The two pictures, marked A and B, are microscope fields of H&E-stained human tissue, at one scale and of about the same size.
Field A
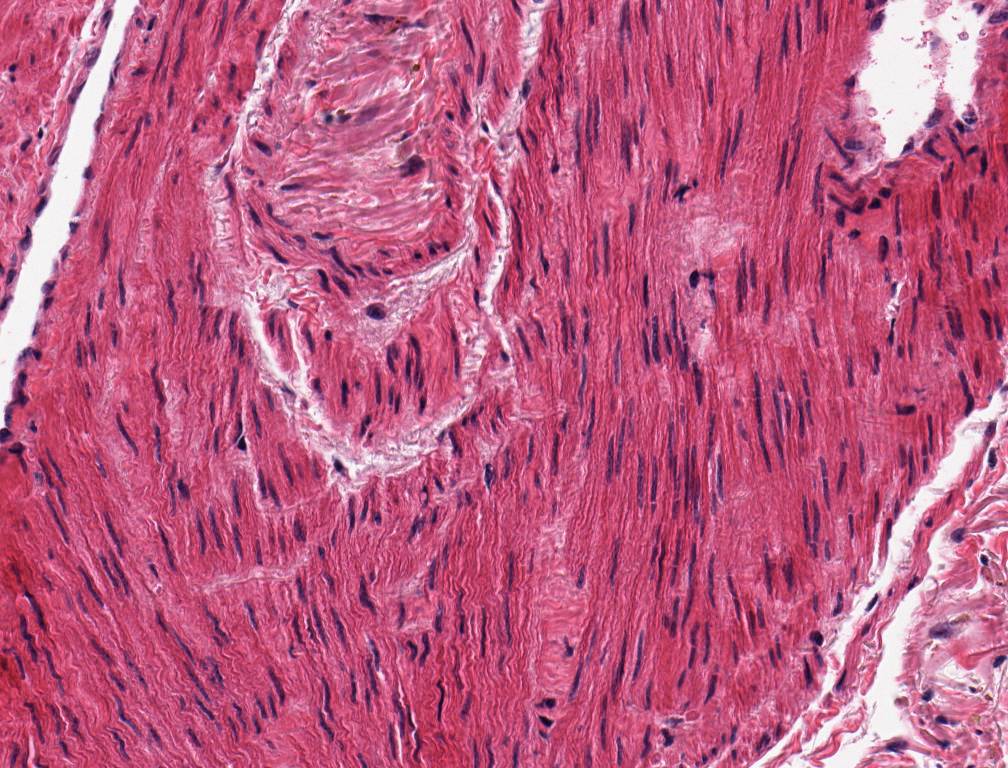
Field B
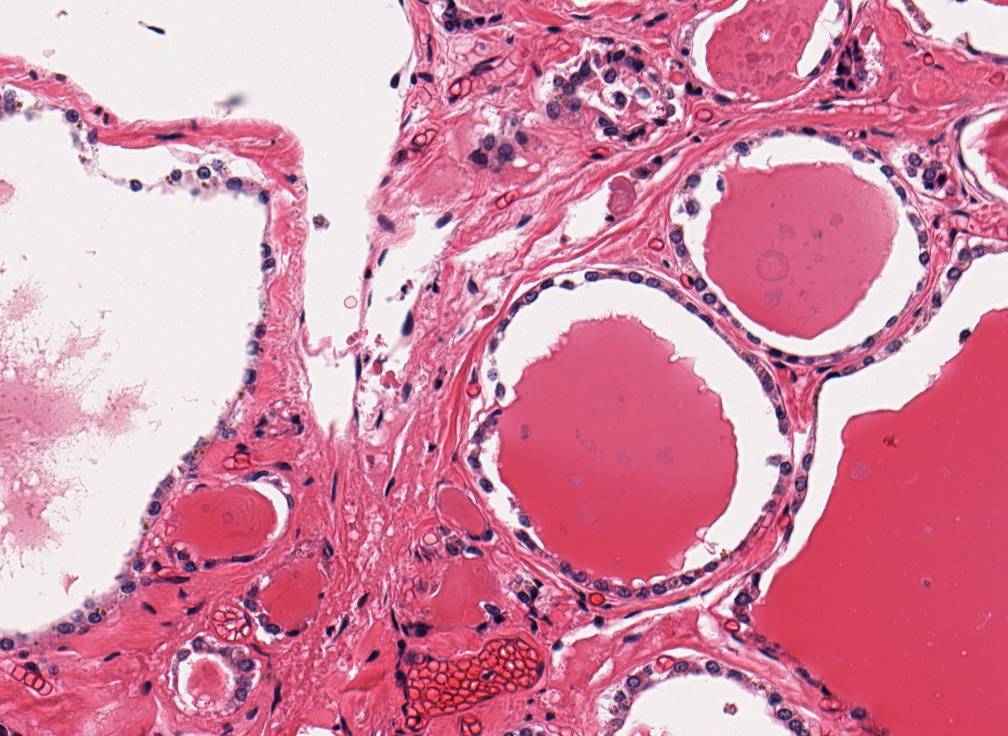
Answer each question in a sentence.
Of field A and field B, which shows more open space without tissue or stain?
Field B has more white space.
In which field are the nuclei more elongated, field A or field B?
Longer, more slender nuclei lie in field A.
